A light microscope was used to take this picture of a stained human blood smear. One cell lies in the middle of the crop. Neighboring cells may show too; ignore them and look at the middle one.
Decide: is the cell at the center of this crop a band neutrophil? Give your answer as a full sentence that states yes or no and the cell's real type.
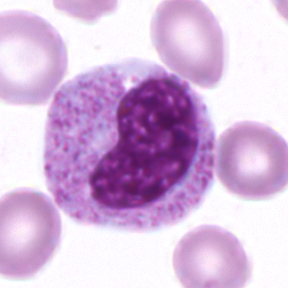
No, what sits in the centre of the crop is a metamyelocyte rather than a band neutrophil.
